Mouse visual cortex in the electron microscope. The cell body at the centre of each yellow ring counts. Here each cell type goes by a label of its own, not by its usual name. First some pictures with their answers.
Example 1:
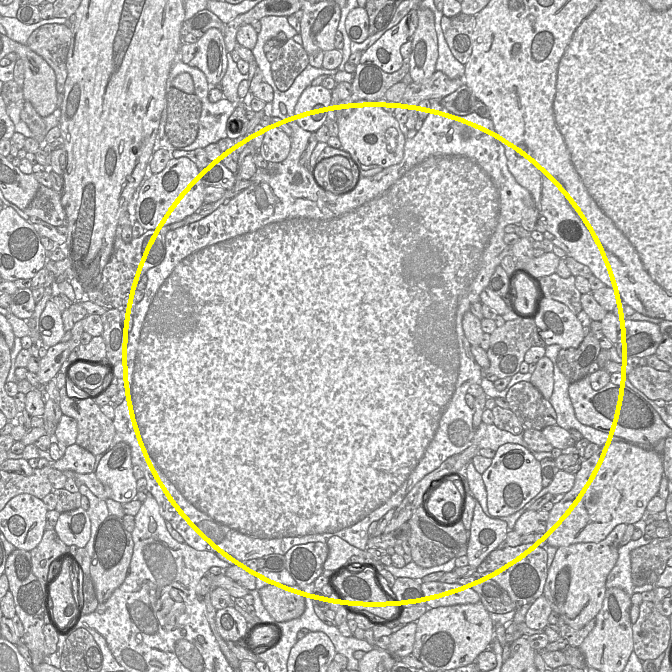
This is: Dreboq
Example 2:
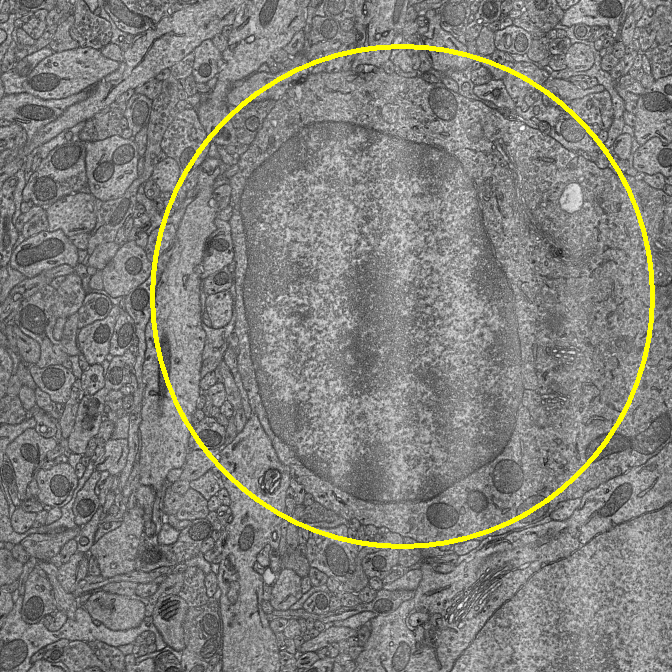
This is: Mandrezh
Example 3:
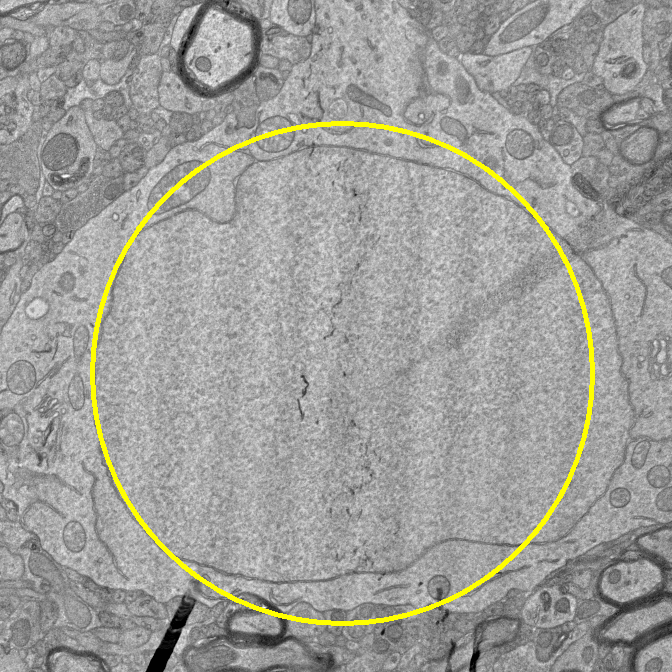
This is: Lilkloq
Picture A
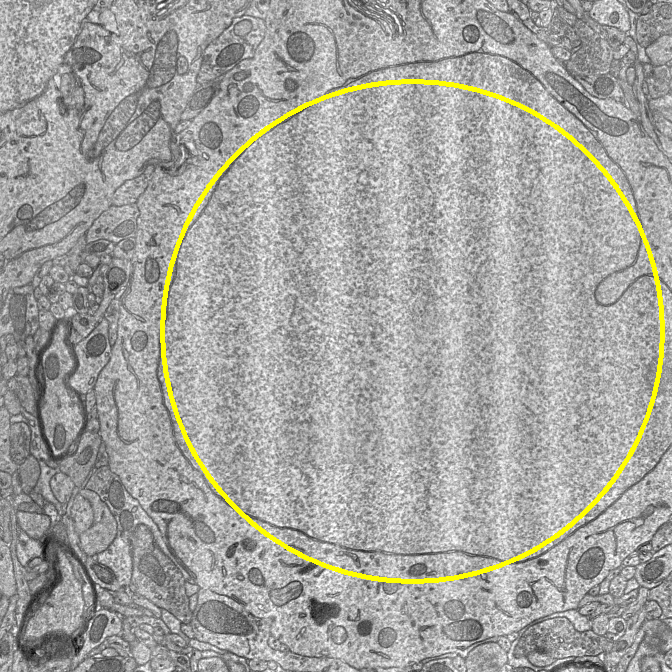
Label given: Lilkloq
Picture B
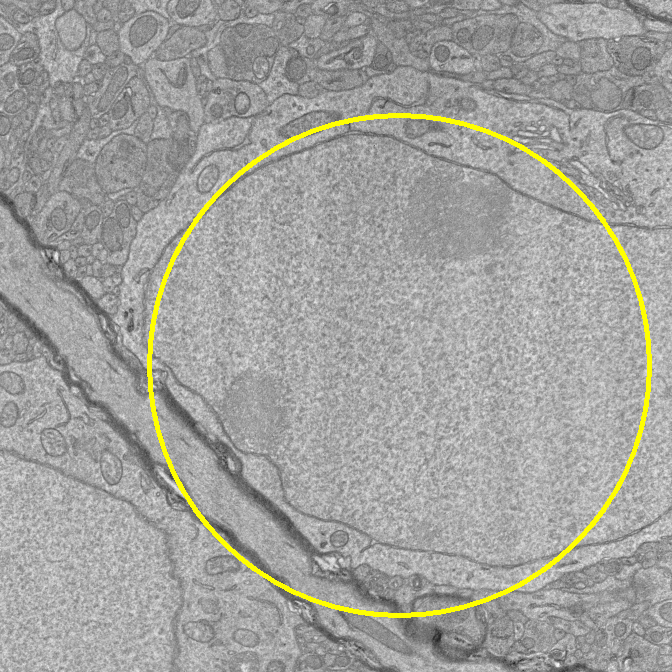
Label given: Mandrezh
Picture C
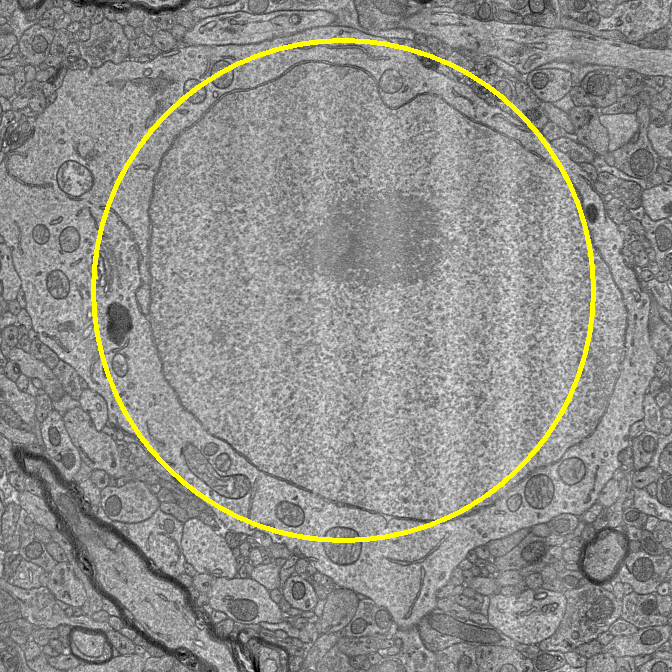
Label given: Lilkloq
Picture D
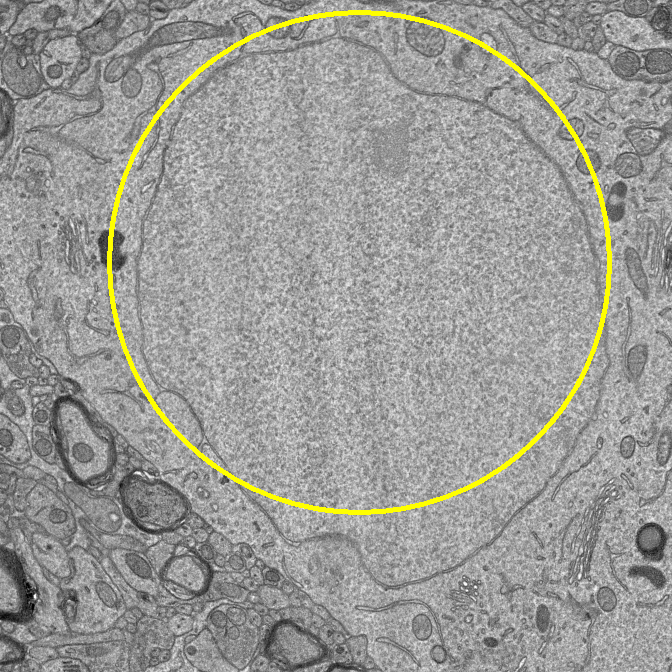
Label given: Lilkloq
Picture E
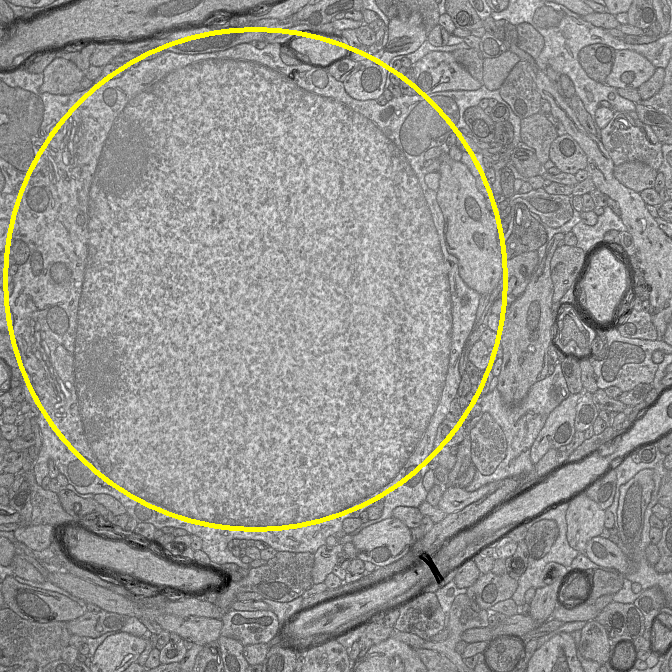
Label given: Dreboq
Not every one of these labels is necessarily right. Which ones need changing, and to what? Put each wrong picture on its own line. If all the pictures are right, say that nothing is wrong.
Wrong: B (Mandrezh); correct: Lilkloq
